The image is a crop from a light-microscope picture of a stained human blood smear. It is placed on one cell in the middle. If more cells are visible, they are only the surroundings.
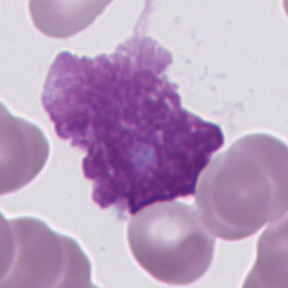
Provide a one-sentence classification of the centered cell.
The cell of interest, in the center, is a smudge cell.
